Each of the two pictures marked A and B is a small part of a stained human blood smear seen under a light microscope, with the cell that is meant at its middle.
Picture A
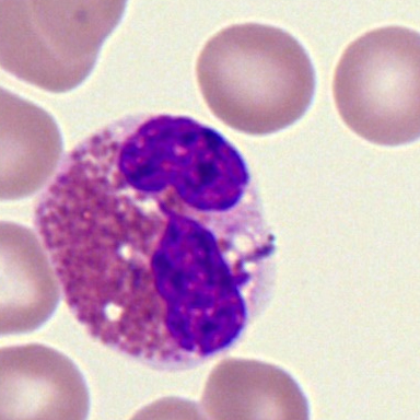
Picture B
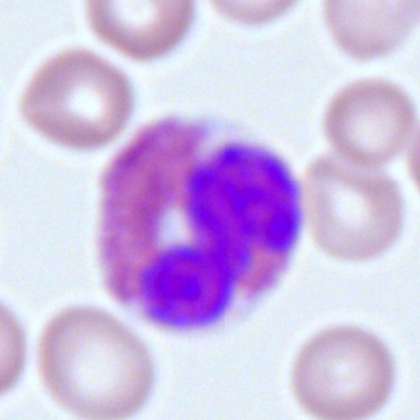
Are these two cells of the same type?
yes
